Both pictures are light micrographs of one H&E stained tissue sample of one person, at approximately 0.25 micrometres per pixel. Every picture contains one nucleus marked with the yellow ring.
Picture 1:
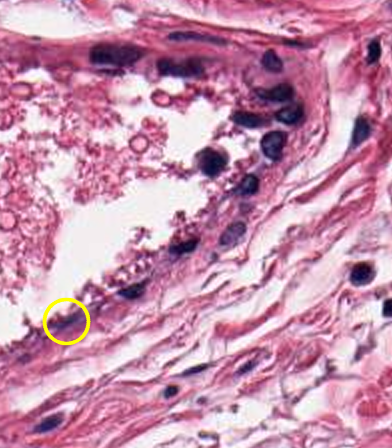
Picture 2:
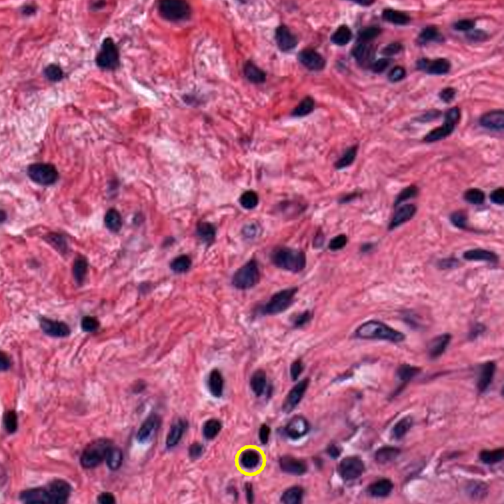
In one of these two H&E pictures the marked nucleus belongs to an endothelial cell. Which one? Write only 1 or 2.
1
